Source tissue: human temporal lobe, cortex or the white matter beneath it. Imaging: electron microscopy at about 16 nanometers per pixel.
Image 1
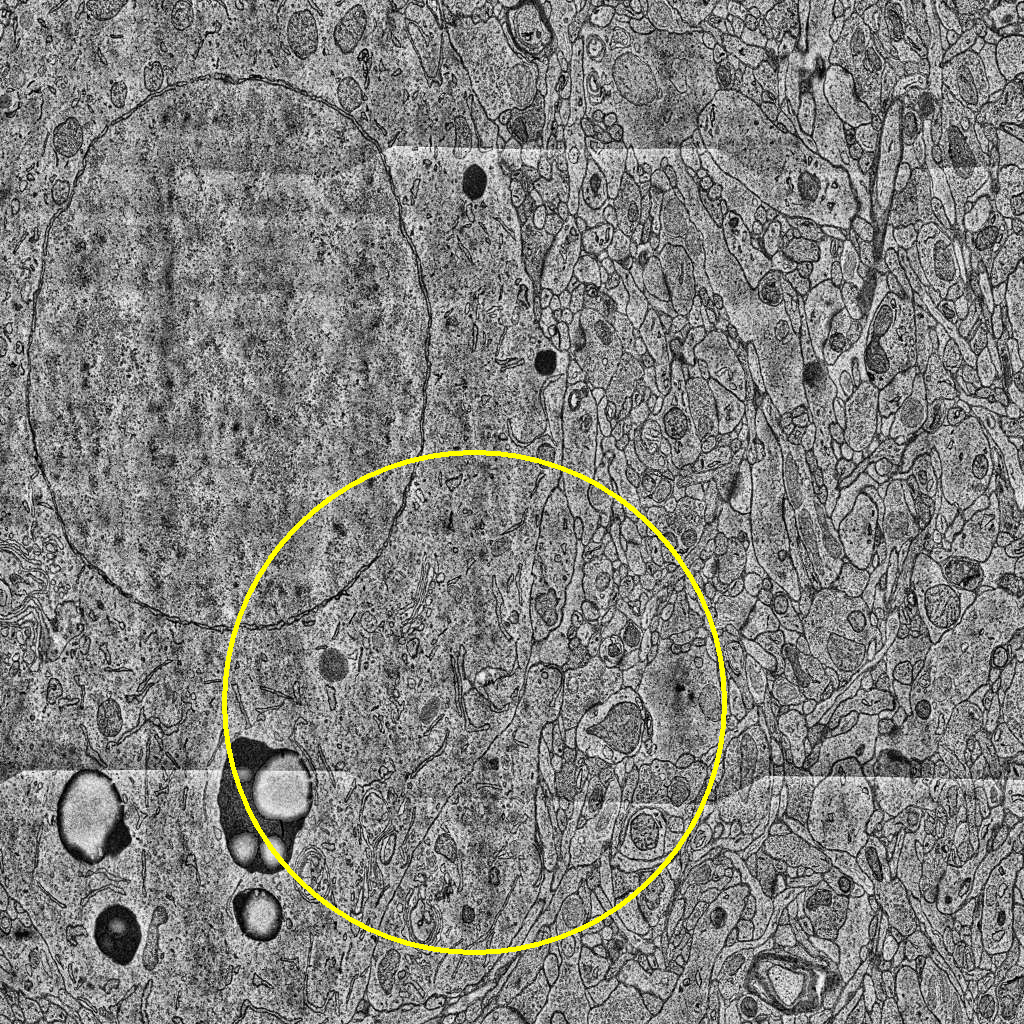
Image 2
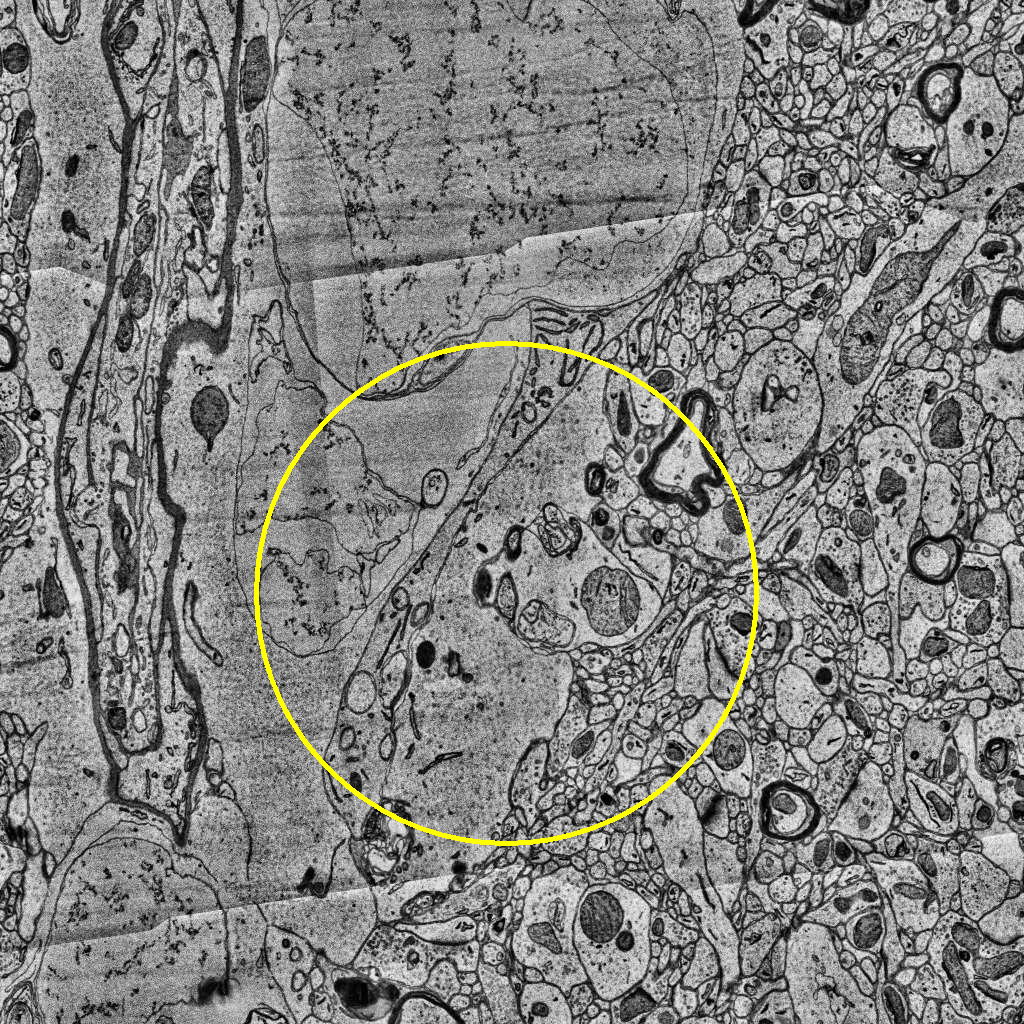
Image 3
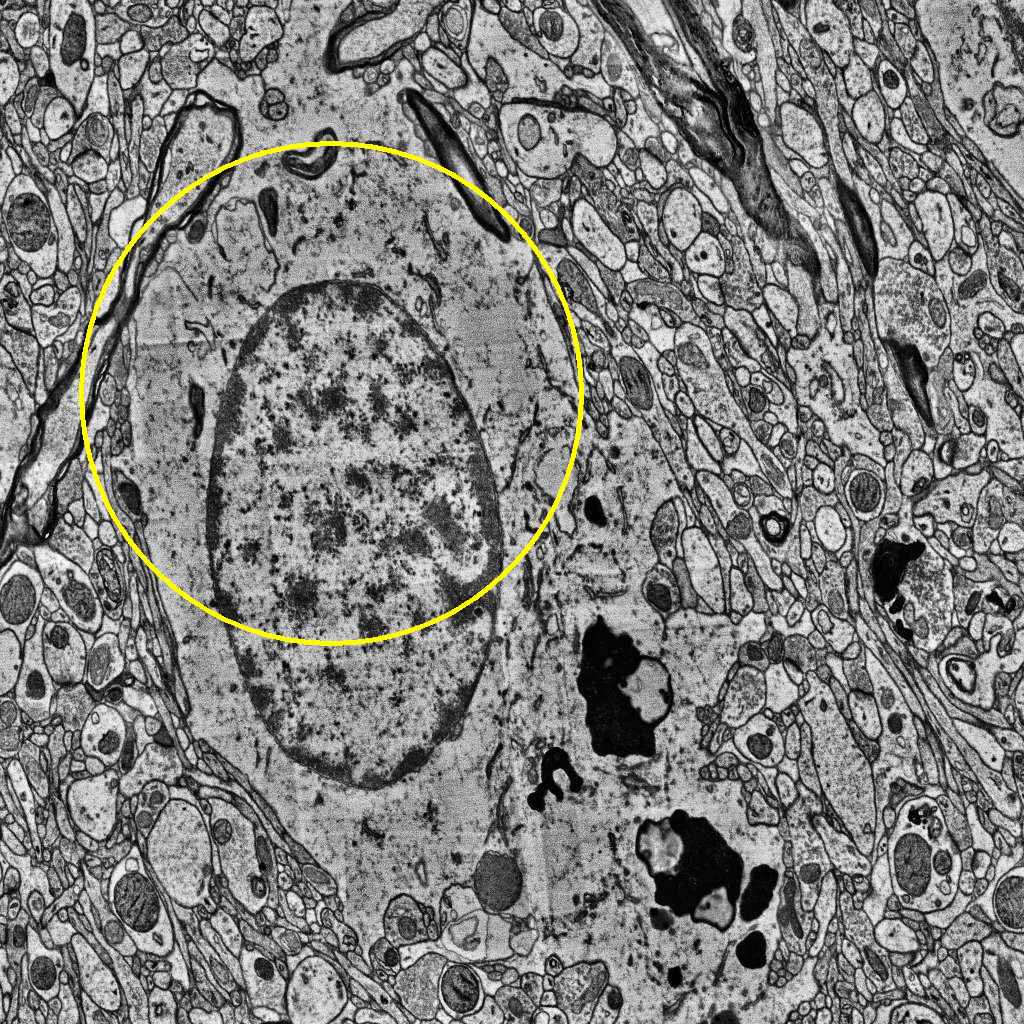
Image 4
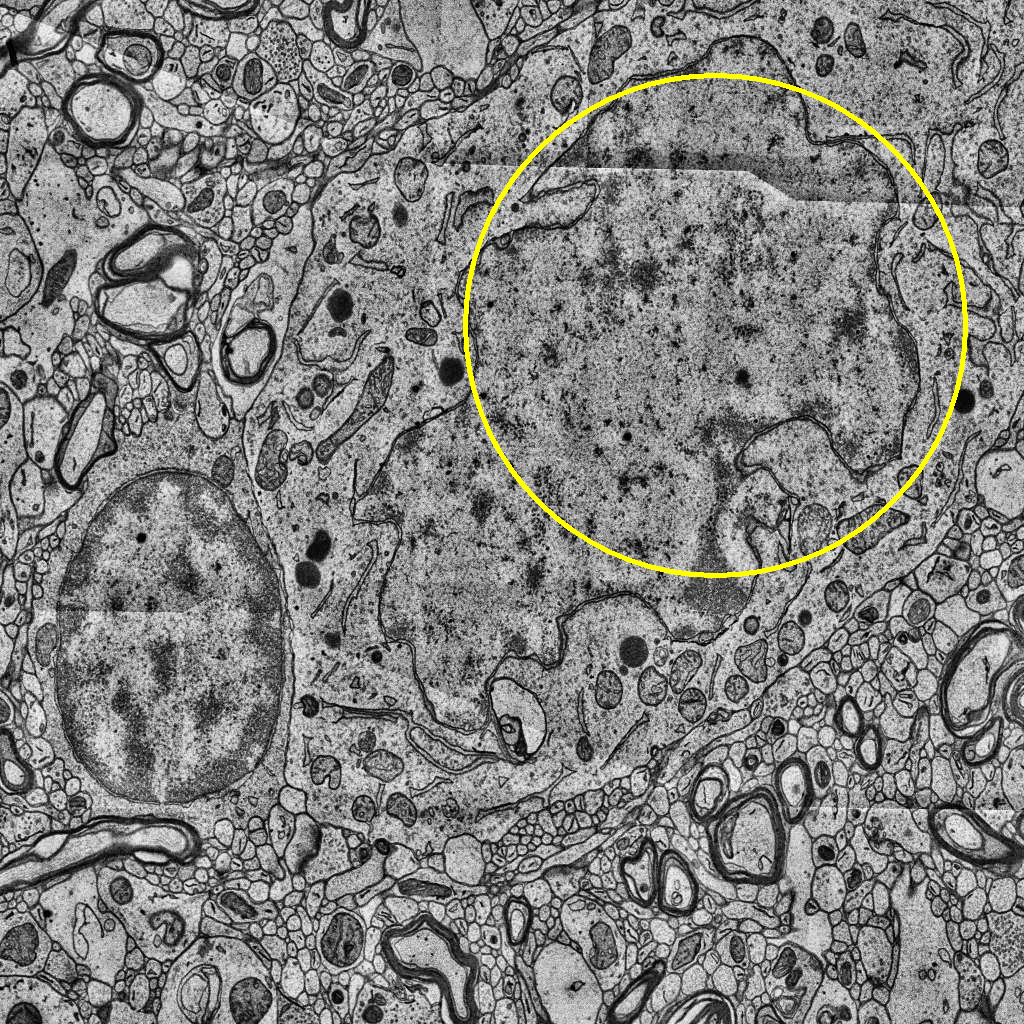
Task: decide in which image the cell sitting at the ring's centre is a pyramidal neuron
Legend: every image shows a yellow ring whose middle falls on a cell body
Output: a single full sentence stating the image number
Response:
In image 1, the cell at the middle of the ring is the match.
